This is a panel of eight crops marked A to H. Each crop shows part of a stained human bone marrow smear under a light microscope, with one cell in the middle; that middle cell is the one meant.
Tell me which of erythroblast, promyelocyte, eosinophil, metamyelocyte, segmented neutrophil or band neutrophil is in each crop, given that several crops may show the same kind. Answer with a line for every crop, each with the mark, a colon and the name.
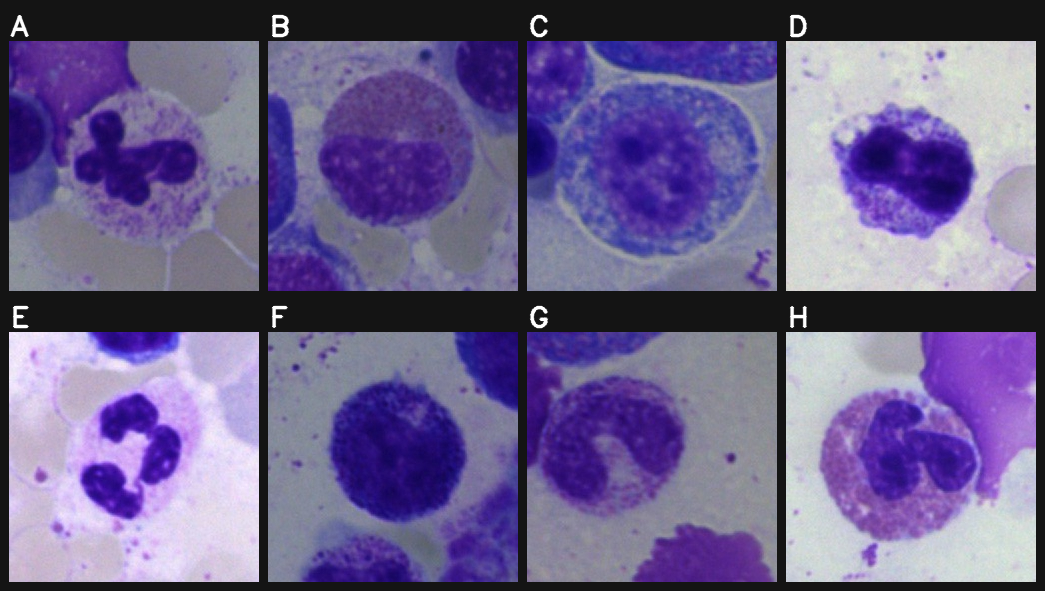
A: segmented neutrophil
B: eosinophil
C: promyelocyte
D: metamyelocyte
E: segmented neutrophil
F: promyelocyte
G: band neutrophil
H: eosinophil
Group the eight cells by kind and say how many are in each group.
segmented neutrophil: 2
eosinophil: 2
promyelocyte: 2
metamyelocyte: 1
band neutrophil: 1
